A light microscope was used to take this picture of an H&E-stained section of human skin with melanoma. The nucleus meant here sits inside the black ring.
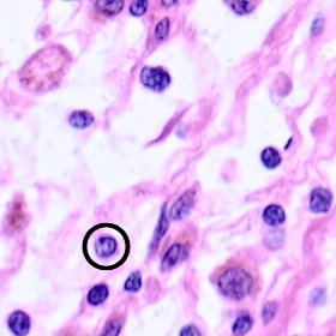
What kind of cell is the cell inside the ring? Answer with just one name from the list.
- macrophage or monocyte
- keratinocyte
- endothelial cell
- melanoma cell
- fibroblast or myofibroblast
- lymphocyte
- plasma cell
lymphocyte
